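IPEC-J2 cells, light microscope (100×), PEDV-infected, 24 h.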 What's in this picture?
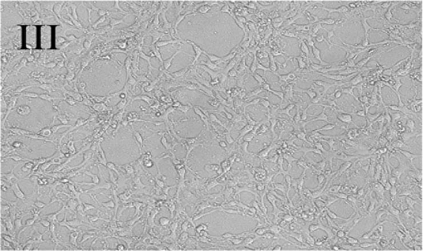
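This is an unstained culture of epithelial cells in plain transmitted light, still spread as a fairly continuous layer. Most cells are flat and elongated or angular, with thin outlines, and touch their neighbours in a network. Scattered among them are a few rounded, brighter cells. Small clear spaces open up between some of the flat cells.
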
